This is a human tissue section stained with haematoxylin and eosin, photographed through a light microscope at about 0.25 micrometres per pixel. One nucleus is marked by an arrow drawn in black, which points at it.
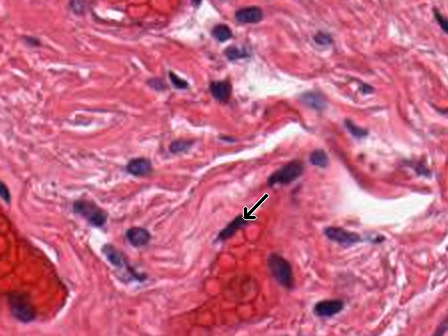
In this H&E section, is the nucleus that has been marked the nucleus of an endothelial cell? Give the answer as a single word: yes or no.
yes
